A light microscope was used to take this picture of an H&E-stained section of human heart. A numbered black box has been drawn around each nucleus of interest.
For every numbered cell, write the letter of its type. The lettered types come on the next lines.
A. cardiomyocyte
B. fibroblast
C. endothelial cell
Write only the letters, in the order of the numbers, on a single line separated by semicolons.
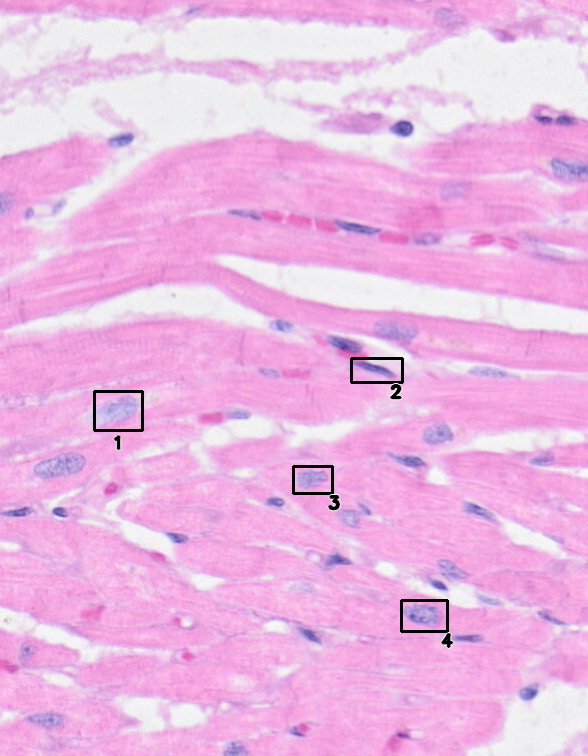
A; C; A; A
